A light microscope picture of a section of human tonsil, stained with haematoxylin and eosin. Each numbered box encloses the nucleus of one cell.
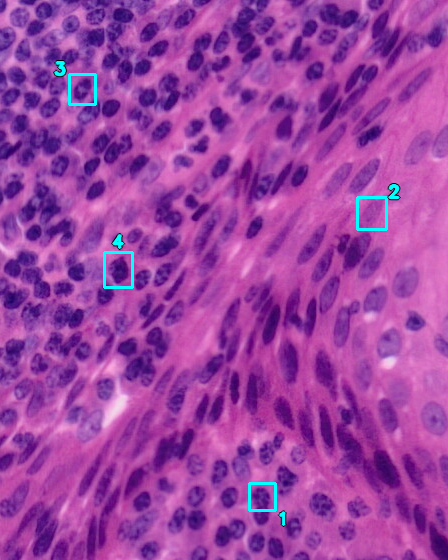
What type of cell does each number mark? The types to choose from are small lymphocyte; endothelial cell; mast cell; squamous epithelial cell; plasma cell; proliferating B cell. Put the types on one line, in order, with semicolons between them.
plasma cell; squamous epithelial cell; plasma cell; plasma cell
